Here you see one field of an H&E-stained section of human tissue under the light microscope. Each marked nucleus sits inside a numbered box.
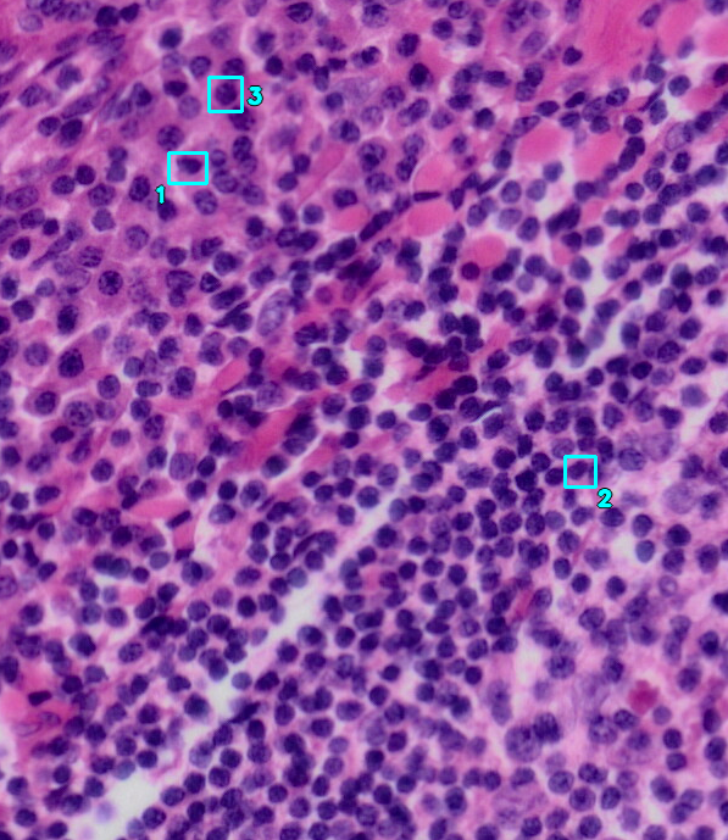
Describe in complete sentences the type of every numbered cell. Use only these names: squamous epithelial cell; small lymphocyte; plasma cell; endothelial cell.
Cells 1 and 3 are plasma cells. Cell 2 is a small lymphocyte.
